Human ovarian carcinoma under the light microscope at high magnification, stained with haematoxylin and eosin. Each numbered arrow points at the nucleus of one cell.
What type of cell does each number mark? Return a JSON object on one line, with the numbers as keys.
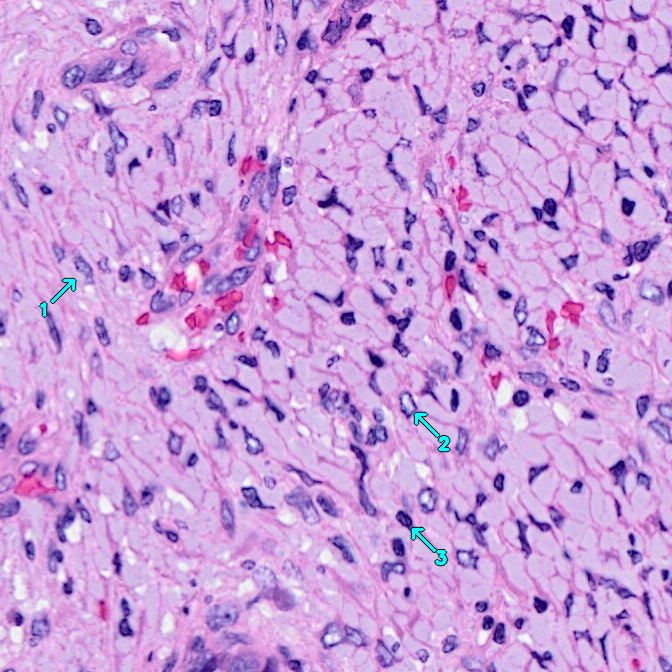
{"1": "fibroblast", "2": "fibroblast", "3": "lymphocyte"}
